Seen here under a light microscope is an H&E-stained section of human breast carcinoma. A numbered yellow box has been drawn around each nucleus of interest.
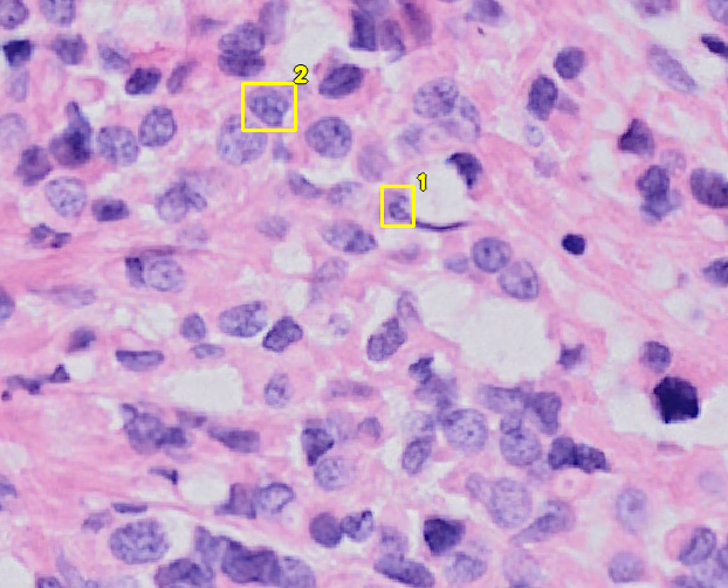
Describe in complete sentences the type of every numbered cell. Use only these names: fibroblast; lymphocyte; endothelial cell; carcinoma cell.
Cell 1 is an endothelial cell and cell 2 is a carcinoma cell.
